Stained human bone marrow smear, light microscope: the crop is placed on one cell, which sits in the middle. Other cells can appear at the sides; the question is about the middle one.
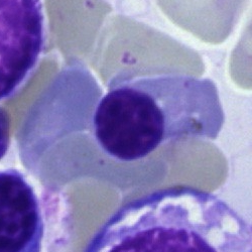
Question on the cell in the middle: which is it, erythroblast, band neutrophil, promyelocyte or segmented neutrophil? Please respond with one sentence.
The middle position in this crop is taken by an erythroblast.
